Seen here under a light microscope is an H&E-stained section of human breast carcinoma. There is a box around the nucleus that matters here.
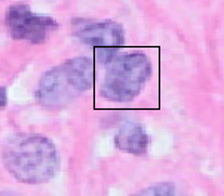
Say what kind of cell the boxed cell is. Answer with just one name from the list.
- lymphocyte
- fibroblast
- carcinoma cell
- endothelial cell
carcinoma cell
